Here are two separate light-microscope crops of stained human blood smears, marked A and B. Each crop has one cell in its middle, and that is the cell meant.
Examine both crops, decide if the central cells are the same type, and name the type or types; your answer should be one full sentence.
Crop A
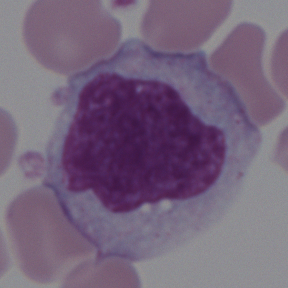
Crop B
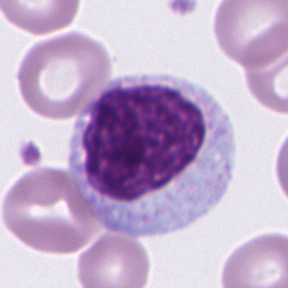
No, a monocyte is shown in crop A and a metamyelocyte in crop B.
